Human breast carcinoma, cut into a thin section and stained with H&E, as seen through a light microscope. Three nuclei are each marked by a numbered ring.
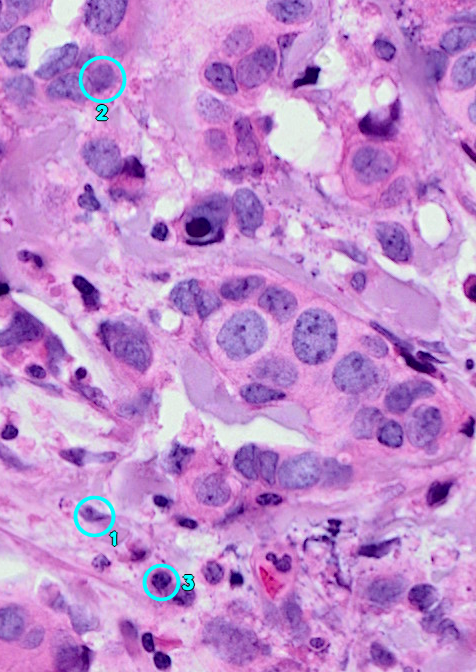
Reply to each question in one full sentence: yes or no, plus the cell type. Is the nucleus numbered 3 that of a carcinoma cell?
No, the cell denoted 3 is a lymphocyte rather than a carcinoma cell.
